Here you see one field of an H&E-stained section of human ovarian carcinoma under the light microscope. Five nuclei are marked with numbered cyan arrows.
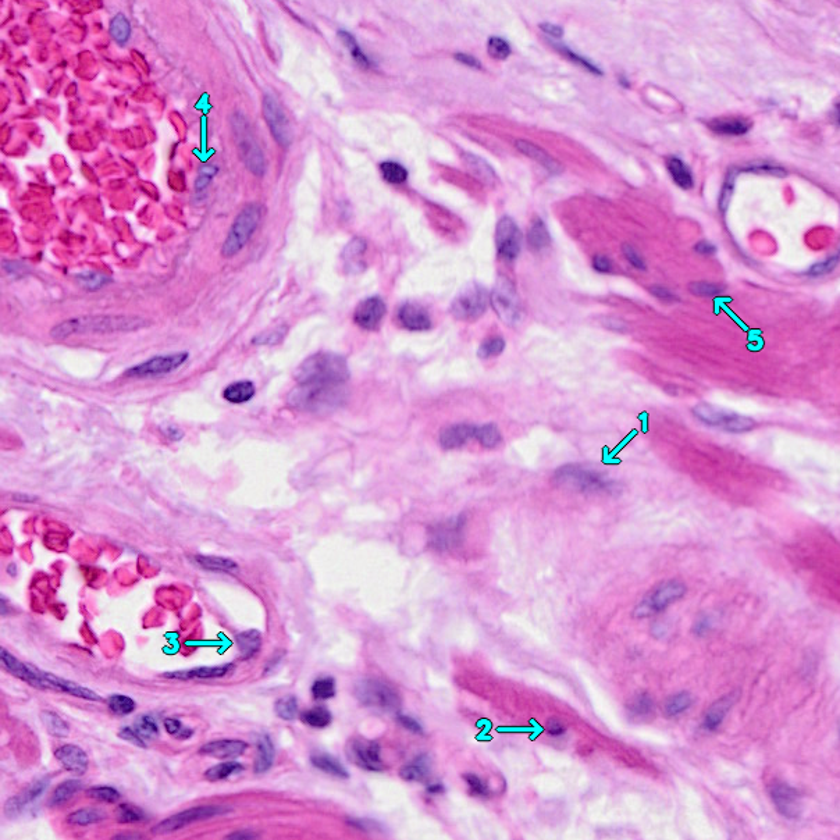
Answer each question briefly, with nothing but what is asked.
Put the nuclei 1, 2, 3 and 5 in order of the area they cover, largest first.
1, 3, 5, 2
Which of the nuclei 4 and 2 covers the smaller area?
2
